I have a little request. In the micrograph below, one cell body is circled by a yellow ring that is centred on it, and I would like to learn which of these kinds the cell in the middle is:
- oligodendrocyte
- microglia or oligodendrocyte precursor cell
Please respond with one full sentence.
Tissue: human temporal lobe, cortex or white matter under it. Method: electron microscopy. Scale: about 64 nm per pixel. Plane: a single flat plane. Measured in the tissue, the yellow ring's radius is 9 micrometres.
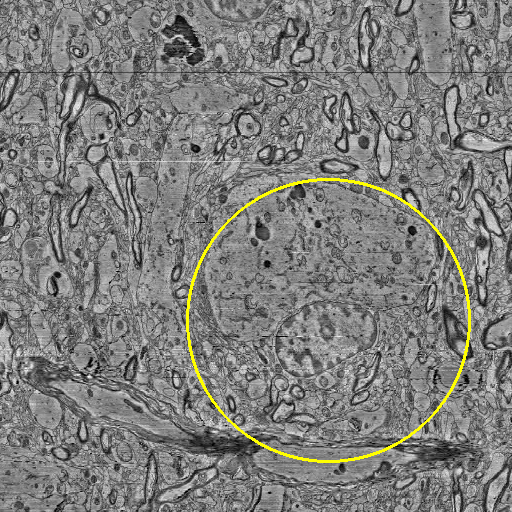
The cell sitting in the middle of the yellow ring in the micrograph is a microglial cell or oligodendrocyte precursor cell.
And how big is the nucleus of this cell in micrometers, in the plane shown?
About 7 by 5 micrometers, in this plane.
